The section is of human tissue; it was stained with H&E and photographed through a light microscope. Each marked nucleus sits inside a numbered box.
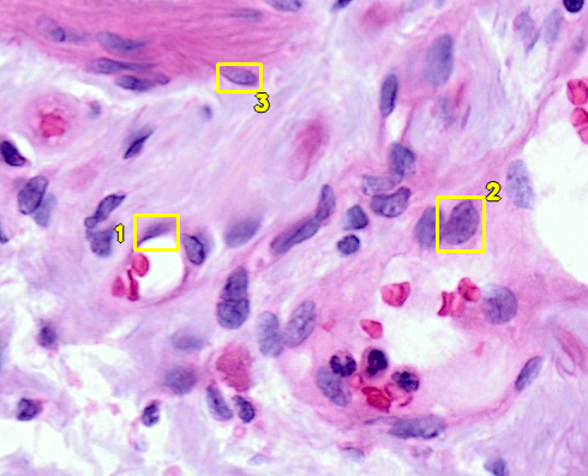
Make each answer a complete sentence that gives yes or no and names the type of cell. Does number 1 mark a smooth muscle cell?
No, cell 1 is not to be taken for a smooth muscle cell; it is an endothelial cell.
